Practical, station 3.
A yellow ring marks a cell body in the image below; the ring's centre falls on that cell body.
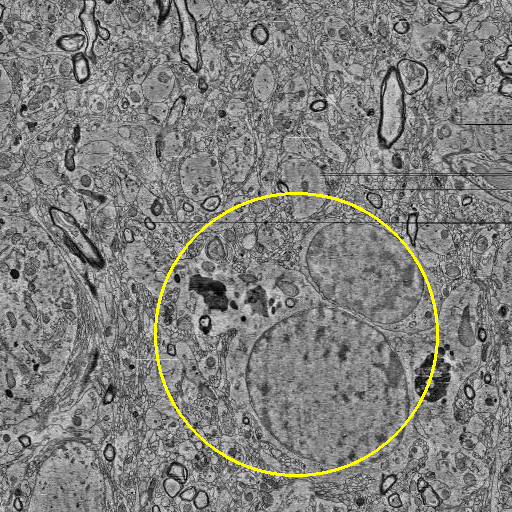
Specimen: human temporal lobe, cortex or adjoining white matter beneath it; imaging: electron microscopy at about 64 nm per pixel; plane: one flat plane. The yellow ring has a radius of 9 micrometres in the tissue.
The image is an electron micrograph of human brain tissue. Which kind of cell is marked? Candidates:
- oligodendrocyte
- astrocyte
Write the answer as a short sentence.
The marked cell body is that of an astrocyte.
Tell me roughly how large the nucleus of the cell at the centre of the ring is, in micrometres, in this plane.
About 11 by 10 micrometres in this plane.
